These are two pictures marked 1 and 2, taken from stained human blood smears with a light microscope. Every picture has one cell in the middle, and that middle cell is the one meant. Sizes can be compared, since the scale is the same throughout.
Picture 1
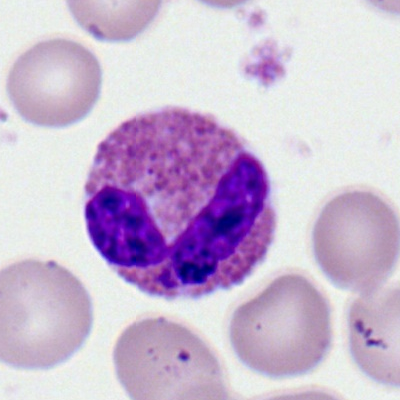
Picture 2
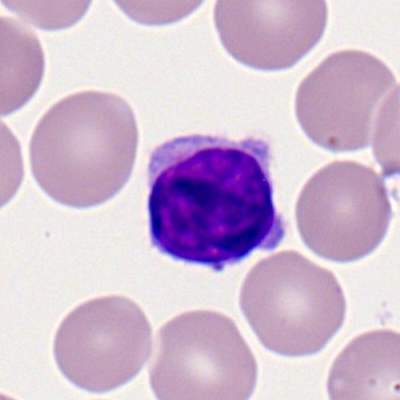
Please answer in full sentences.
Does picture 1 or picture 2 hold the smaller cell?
The cell in picture 2 is smaller; the one in picture 1 has about 2 times its area.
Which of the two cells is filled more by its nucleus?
In picture 2 the nucleus takes up the larger part of its cell.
